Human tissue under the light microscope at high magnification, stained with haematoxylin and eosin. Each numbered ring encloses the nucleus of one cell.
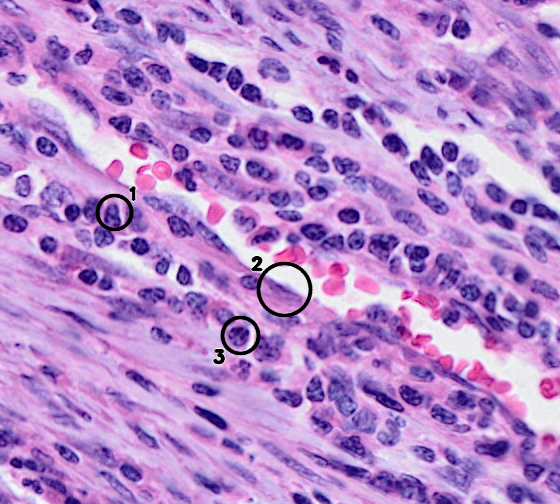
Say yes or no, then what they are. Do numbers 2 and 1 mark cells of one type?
No, cell 2 is an endothelial cell and cell 1 is a lymphocyte.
